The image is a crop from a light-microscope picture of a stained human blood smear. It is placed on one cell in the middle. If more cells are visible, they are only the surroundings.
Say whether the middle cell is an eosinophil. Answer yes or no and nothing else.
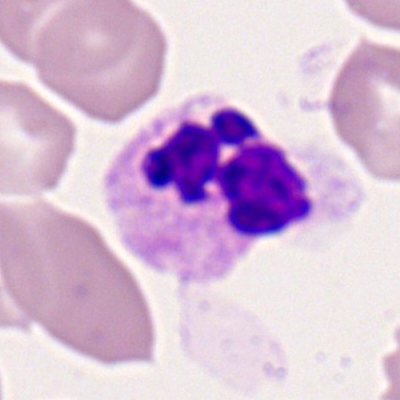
no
